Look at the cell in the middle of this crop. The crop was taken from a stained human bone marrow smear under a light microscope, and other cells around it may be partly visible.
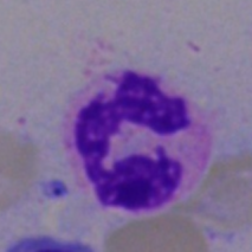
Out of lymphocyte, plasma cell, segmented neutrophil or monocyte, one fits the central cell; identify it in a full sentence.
The identification for the central cell is a segmented neutrophil.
